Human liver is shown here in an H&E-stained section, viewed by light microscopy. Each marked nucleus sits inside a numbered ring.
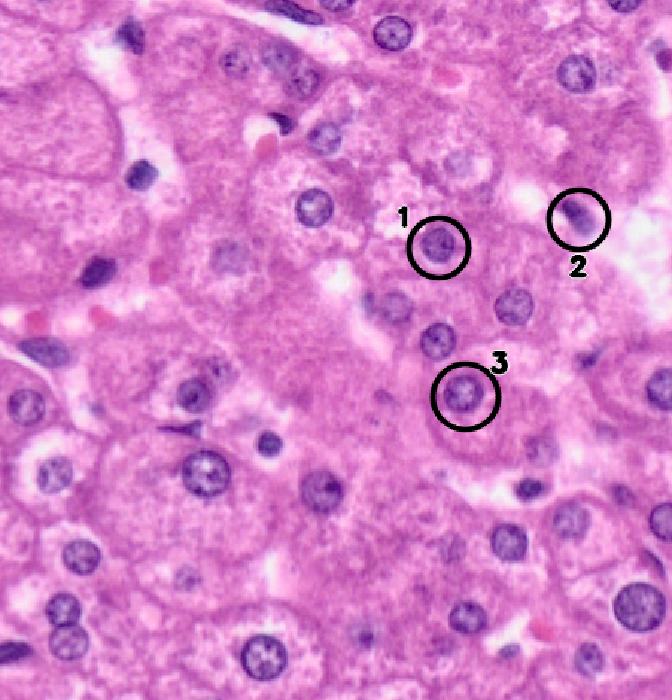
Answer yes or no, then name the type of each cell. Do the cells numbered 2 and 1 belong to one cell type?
No, by type, cell 2 is a Kupffer cell and cell 1 is a hepatocyte.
